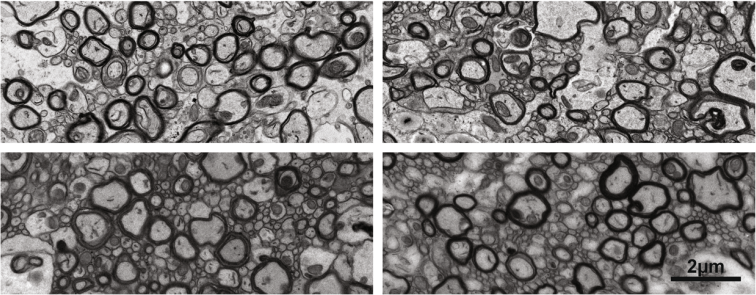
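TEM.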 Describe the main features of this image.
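The tissue is cut across a fibre bundle, so the axons appear as round or irregular profiles. Many of the axons are wrapped in a dark, electron-dense sheath of myelin around a paler axoplasm, and they are packed among many small unmyelinated or thinly wrapped profiles.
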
